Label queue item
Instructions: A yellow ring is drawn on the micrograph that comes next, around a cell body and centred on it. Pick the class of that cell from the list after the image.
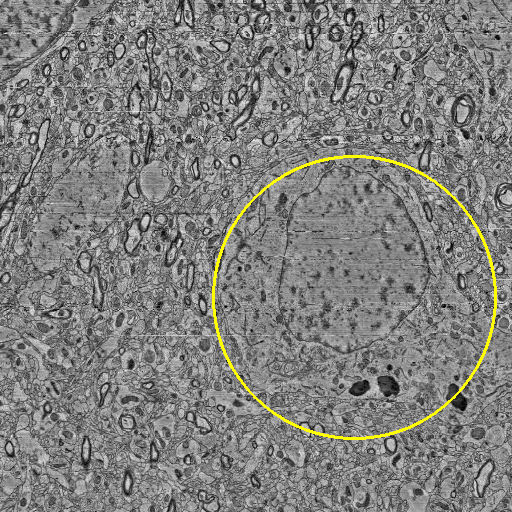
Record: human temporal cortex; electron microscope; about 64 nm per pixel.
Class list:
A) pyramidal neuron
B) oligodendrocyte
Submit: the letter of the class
A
